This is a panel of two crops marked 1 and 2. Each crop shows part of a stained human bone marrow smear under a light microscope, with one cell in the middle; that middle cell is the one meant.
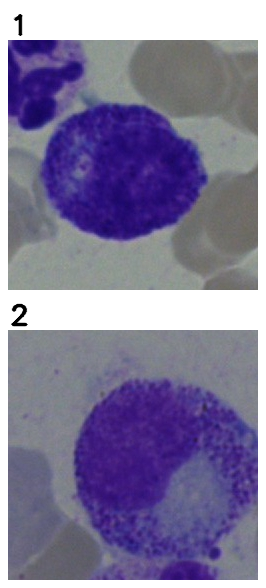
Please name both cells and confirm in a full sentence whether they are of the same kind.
Yes, as an answer for this item, both crops show myelocytes.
